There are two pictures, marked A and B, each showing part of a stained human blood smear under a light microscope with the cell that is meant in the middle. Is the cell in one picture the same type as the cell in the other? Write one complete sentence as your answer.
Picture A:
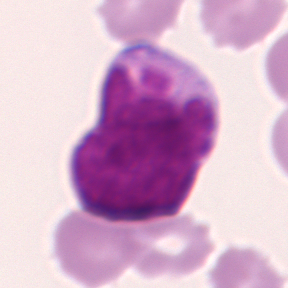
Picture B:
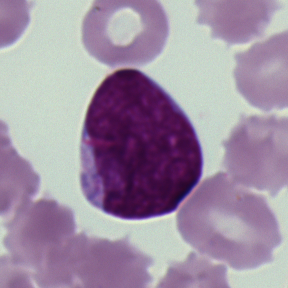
Yes, both are myeloblasts.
